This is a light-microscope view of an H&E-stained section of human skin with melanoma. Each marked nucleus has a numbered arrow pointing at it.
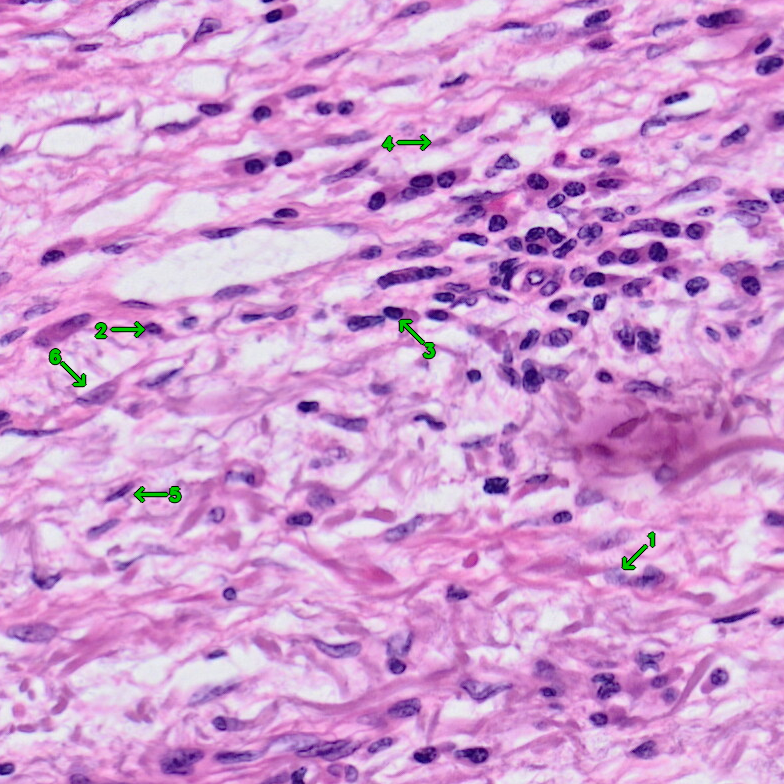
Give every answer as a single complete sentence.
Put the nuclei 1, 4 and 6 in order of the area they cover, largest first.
Largest first, the order by area is 6, 1, 4.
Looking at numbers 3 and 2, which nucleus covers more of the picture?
Nucleus 3 is the larger one, covering about 1.5 times the area of nucleus 2.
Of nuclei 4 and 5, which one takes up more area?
Nucleus 5 covers more area, about 1.5 times as much as nucleus 4.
